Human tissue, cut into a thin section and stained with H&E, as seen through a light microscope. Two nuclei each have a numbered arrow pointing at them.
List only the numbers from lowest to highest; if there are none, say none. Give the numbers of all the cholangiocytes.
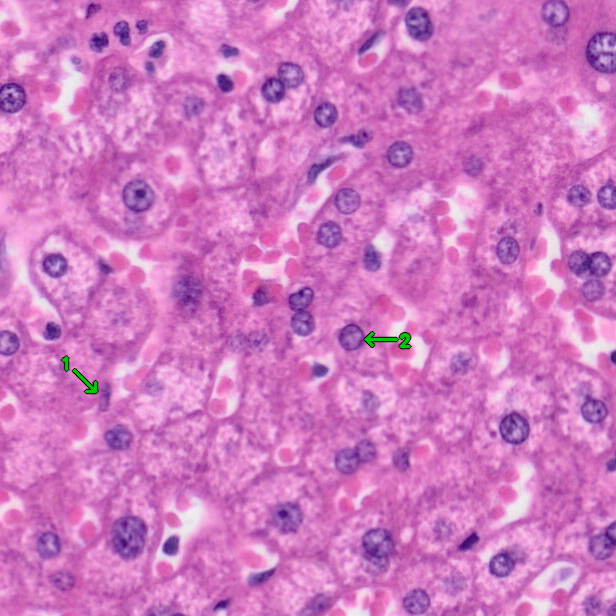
none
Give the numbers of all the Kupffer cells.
1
